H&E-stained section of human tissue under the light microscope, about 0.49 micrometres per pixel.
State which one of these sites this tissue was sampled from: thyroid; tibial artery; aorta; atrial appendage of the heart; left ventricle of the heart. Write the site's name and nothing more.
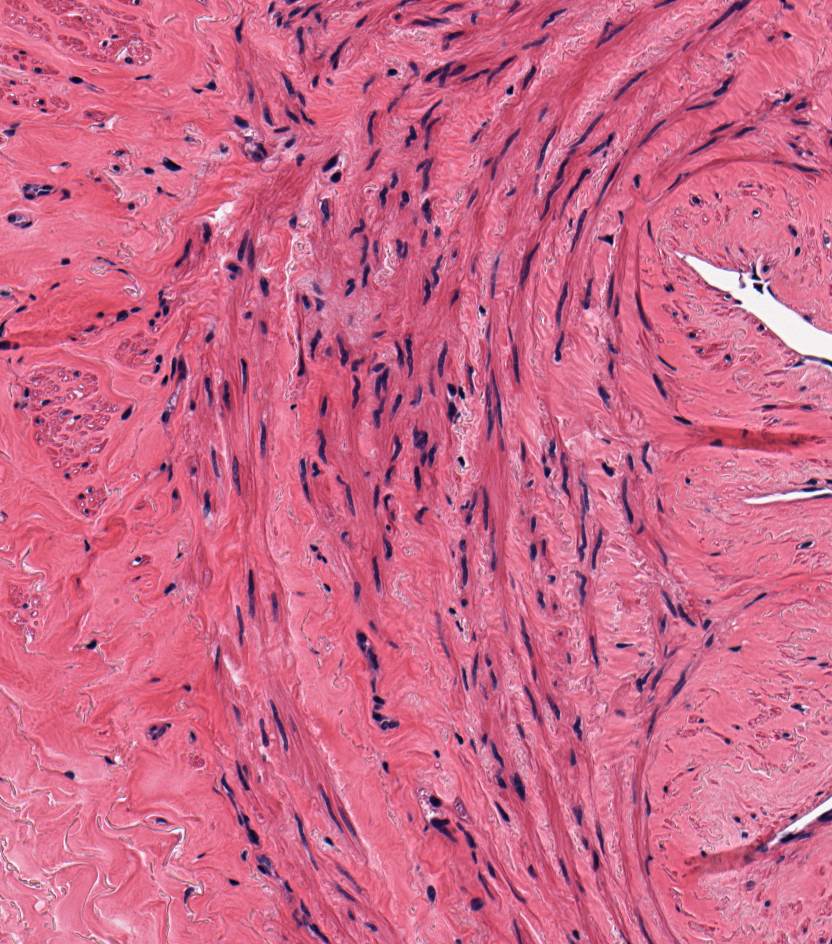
tibial artery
